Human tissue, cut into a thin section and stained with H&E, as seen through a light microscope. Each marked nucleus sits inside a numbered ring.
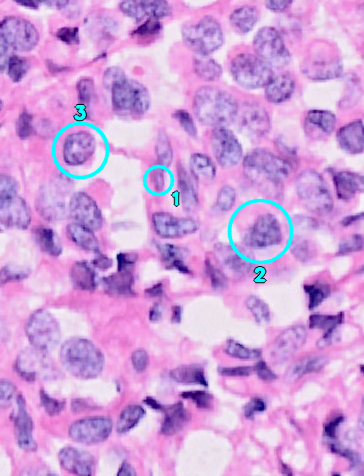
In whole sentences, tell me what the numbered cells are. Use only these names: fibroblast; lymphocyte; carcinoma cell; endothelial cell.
Cell 1 is an endothelial cell. Cells 2 and 3 are carcinoma cells.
